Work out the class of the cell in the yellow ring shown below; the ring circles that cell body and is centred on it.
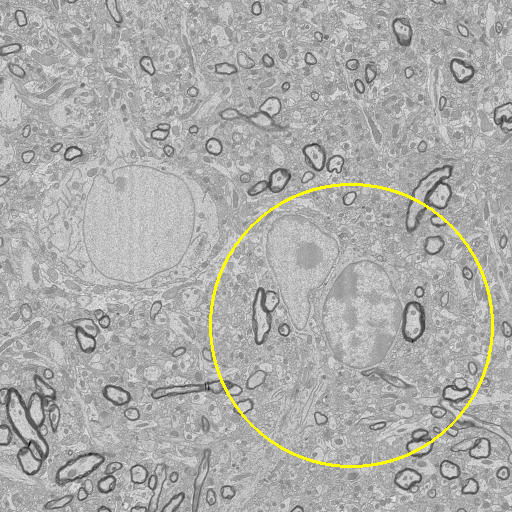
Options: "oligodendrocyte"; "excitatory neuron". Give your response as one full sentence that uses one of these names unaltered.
The body ringed in yellow, right at the ring's centre, is that of an oligodendrocyte.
